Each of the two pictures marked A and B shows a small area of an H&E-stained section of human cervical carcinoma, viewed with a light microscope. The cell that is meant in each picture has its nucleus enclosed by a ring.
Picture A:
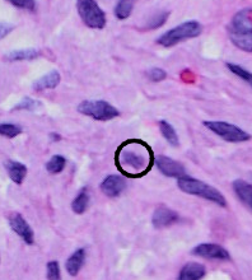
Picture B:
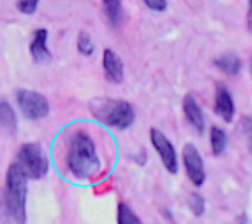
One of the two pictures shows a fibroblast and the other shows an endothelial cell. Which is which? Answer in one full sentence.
Picture A shows a fibroblast and picture B shows an endothelial cell.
